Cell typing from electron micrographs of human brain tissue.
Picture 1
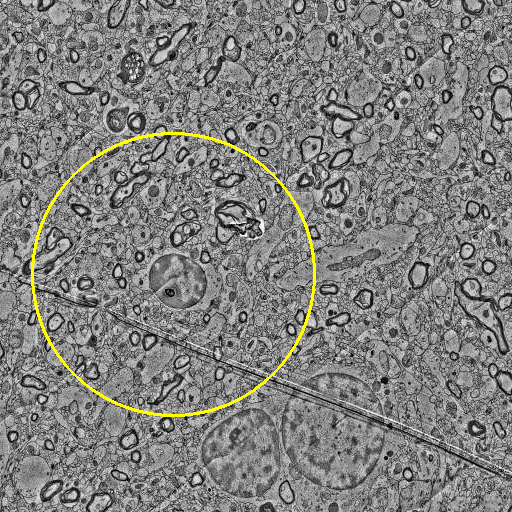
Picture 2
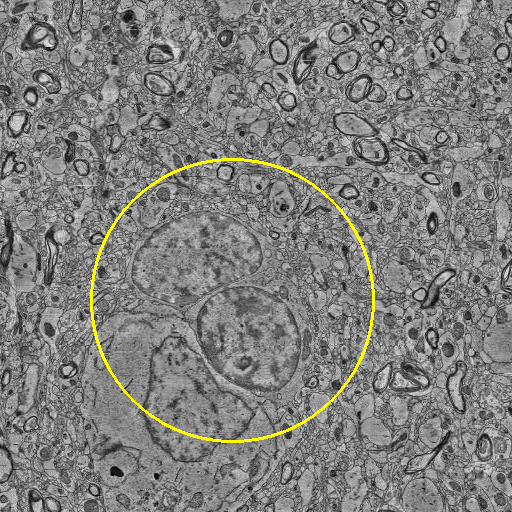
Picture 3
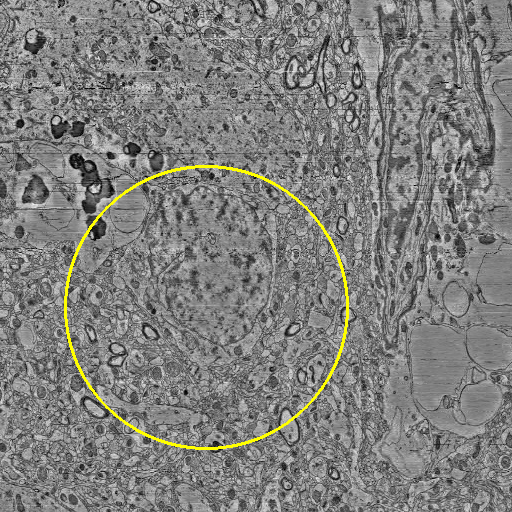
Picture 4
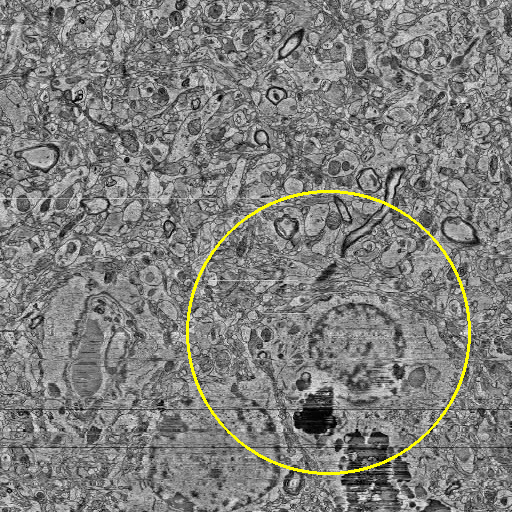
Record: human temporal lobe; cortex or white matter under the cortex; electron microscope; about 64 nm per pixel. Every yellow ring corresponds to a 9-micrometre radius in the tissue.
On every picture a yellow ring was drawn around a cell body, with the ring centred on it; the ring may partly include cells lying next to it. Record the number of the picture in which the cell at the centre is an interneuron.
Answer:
3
